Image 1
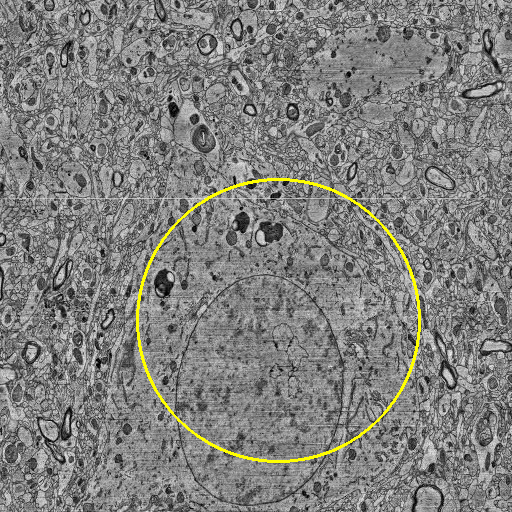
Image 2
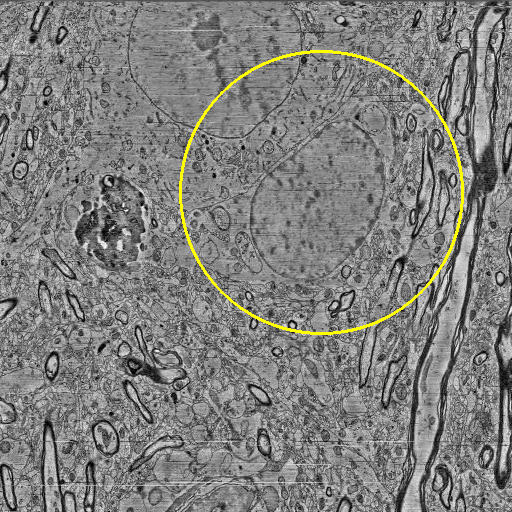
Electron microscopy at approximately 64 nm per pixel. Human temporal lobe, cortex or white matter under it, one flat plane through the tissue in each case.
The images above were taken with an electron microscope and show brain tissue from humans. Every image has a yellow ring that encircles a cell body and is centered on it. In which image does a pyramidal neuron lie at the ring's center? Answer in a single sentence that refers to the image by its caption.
In Image 1, the cell at the center of the yellow ring is the correct match.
